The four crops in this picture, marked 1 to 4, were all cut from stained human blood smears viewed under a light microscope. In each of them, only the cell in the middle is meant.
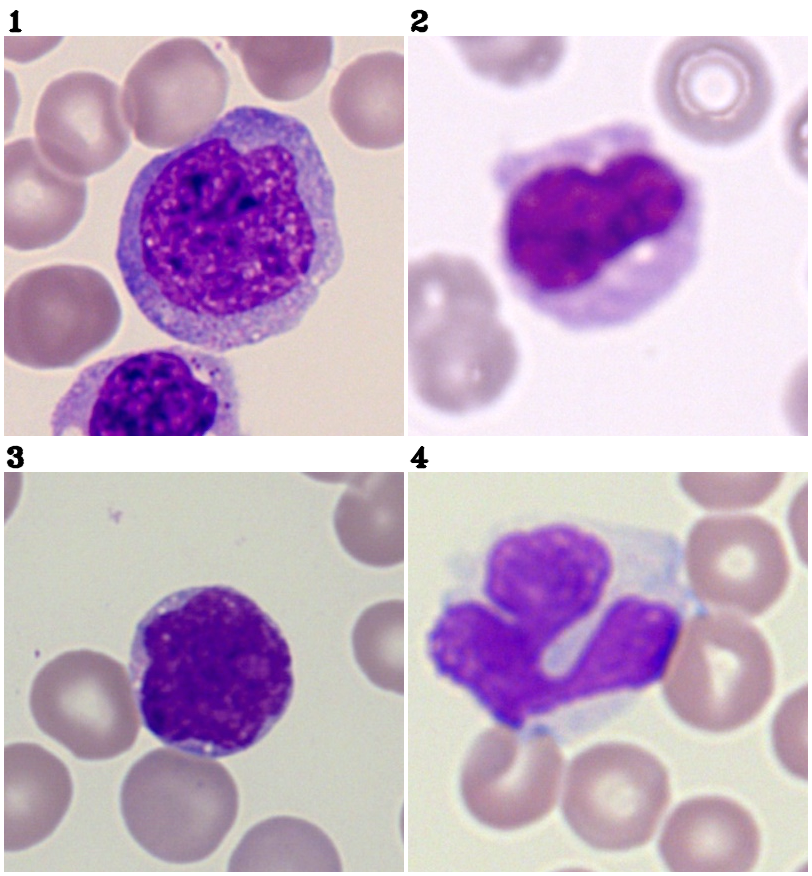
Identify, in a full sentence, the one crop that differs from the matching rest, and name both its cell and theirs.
As the exception to the monocytes in the other crops, crop 3 shows a blast.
